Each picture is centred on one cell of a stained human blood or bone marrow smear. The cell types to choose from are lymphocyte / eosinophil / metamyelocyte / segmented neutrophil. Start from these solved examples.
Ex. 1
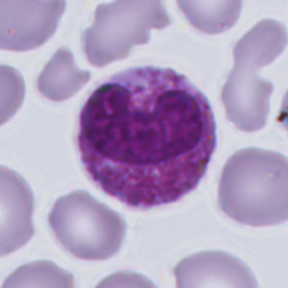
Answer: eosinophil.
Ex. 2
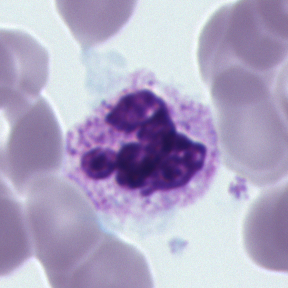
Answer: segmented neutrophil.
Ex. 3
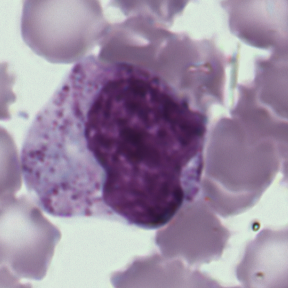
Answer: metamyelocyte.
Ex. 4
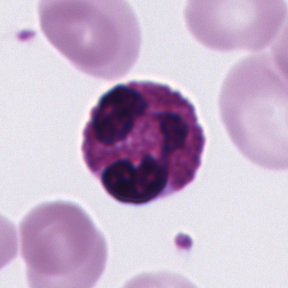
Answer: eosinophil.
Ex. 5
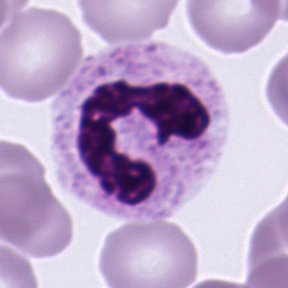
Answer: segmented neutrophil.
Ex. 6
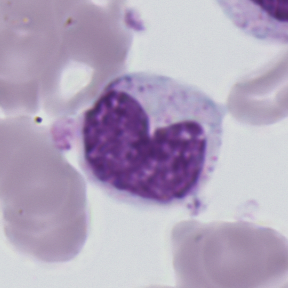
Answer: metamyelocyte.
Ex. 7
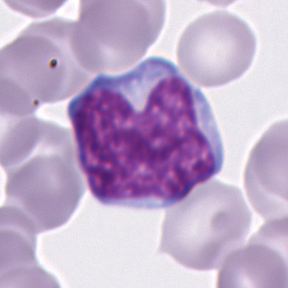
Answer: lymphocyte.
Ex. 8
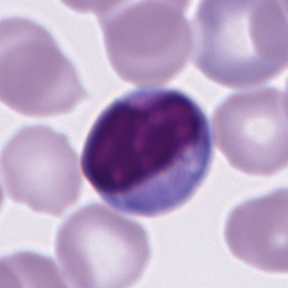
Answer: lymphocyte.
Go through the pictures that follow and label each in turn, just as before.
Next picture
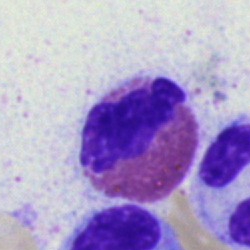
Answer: eosinophil.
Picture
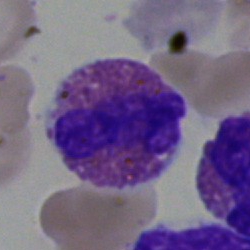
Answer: eosinophil.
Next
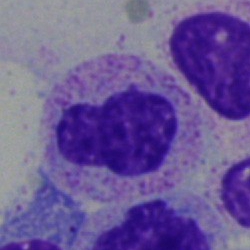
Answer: metamyelocyte.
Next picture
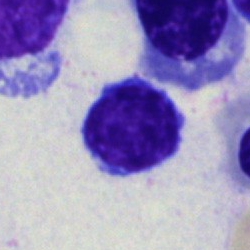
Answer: lymphocyte.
